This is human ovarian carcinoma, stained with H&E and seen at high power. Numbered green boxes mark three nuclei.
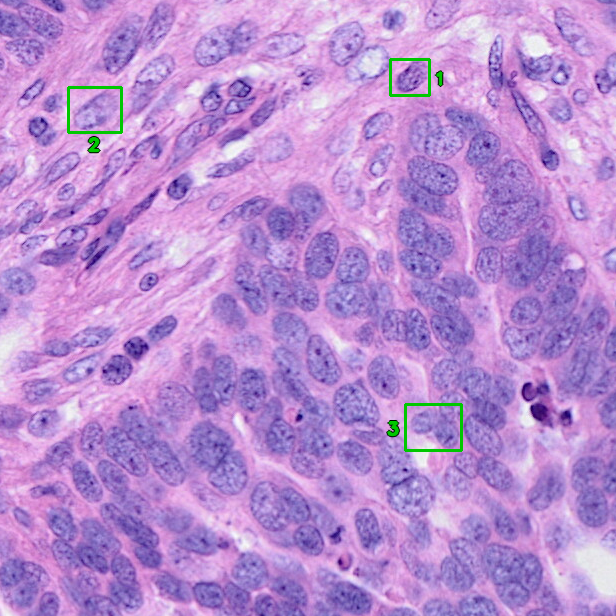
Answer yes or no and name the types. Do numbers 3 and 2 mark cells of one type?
No, the proper labels are a carcinoma cell for cell 3 and a fibroblast for cell 2.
